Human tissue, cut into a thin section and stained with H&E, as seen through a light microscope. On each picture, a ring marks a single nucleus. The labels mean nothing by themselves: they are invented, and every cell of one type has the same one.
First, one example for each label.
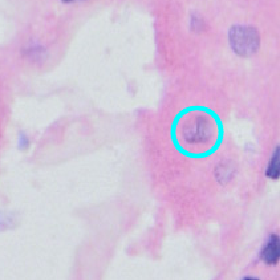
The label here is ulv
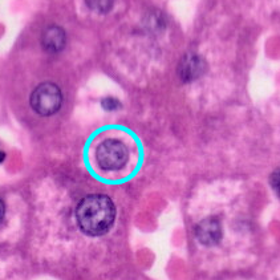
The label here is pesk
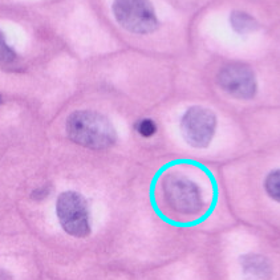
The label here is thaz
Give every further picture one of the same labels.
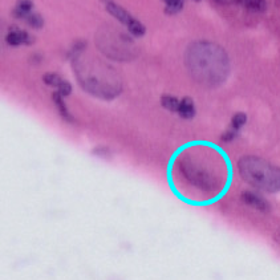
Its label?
thaz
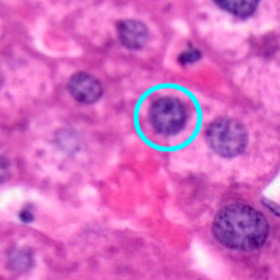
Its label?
pesk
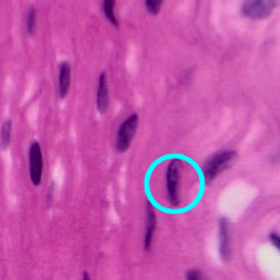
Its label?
thaz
